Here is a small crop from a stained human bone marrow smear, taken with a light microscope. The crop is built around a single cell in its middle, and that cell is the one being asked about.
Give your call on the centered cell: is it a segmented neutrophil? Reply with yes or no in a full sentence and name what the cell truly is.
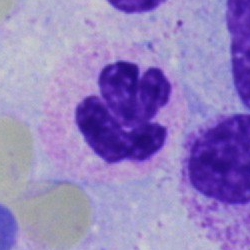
Yes, in this crop the cell in the middle is a segmented neutrophil.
